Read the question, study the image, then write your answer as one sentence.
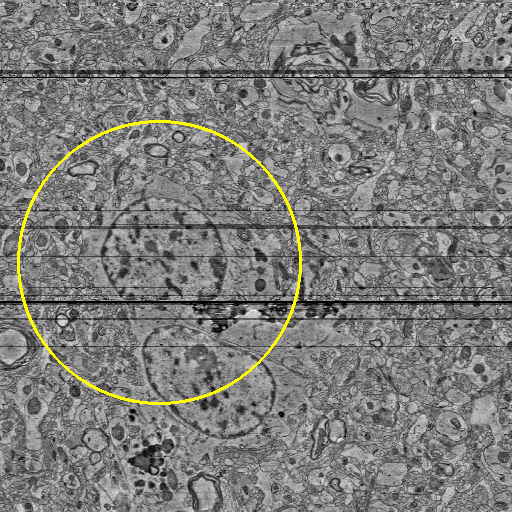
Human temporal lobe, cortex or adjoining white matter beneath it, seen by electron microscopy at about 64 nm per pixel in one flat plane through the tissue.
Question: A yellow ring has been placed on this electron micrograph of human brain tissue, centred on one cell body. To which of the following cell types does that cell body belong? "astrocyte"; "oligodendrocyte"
That cell body belongs to an astrocyte.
